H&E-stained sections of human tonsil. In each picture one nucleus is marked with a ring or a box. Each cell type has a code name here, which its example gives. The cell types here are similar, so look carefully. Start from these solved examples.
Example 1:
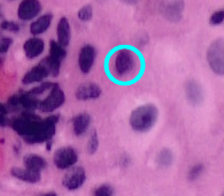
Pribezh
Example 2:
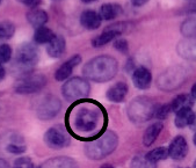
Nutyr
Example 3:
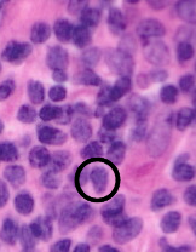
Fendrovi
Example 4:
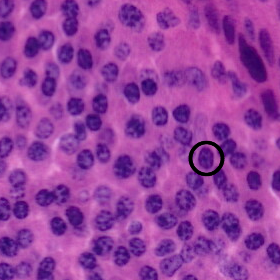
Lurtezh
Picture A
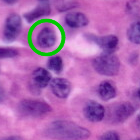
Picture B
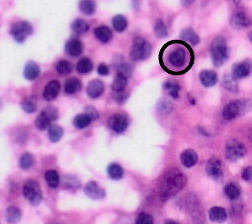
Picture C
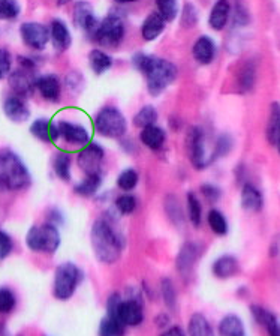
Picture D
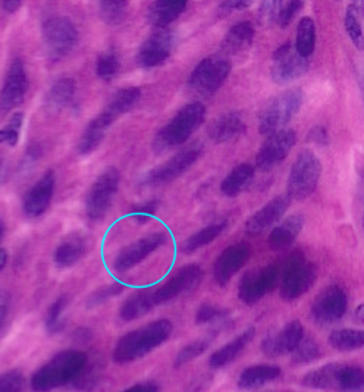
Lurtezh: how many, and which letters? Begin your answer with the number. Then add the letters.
2, namely A, B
